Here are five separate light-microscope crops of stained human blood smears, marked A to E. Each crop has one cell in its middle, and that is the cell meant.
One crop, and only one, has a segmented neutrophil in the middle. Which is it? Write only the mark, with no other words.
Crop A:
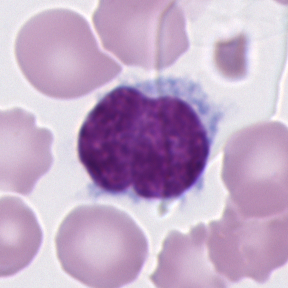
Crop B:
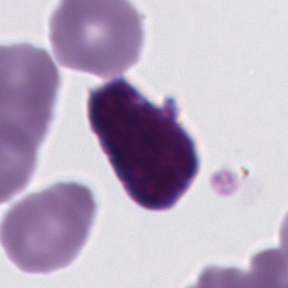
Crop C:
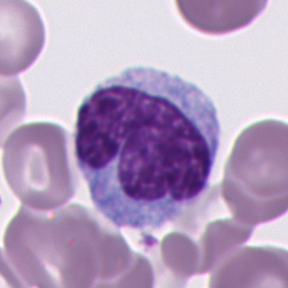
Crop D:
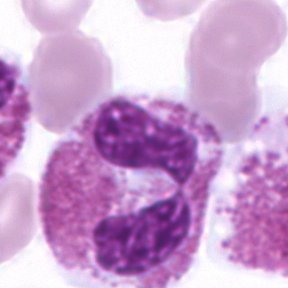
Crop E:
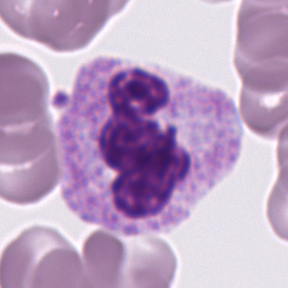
E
